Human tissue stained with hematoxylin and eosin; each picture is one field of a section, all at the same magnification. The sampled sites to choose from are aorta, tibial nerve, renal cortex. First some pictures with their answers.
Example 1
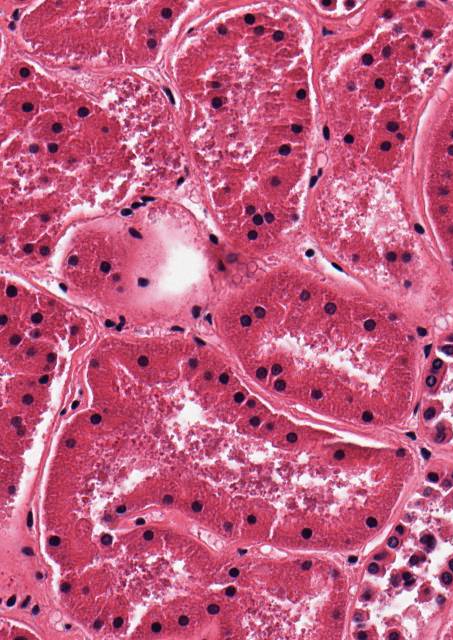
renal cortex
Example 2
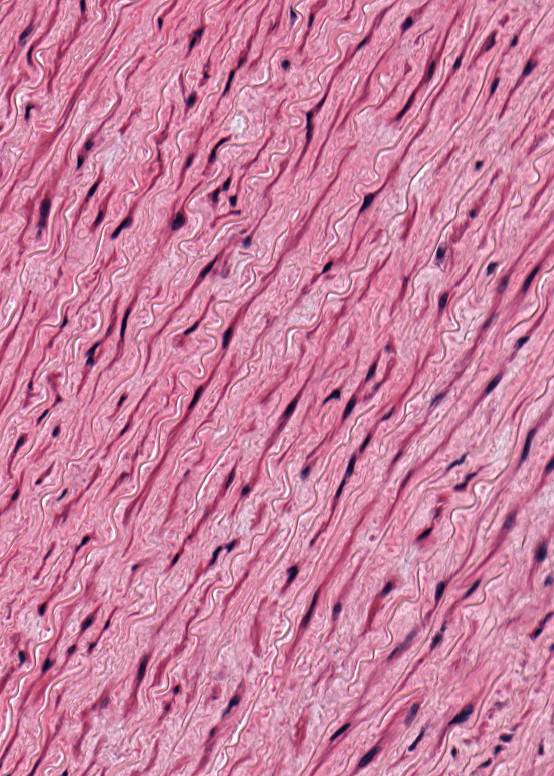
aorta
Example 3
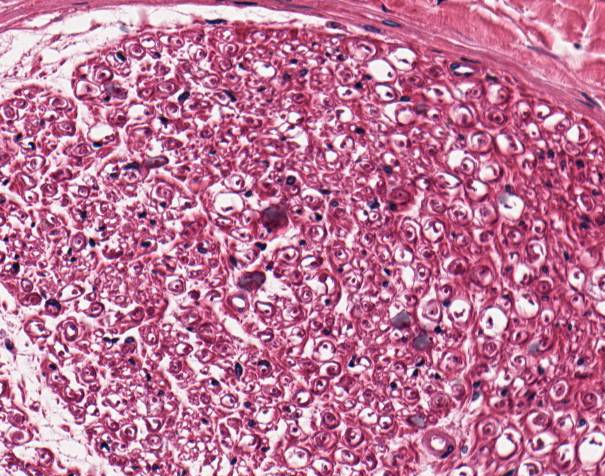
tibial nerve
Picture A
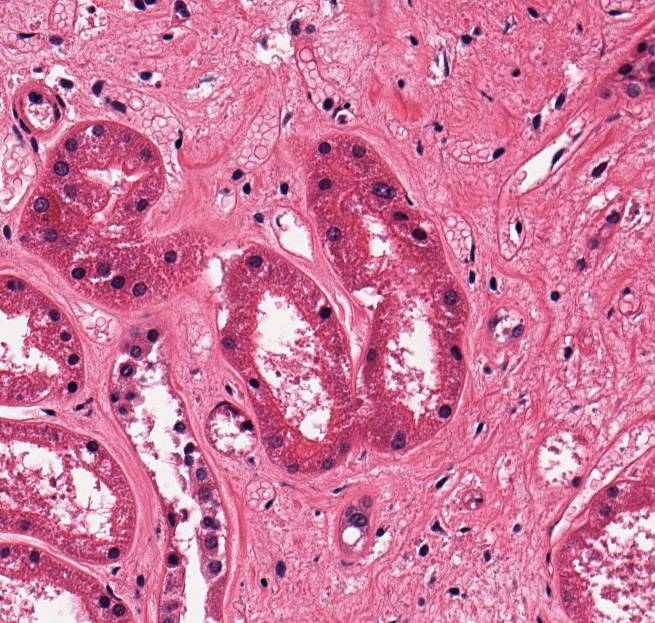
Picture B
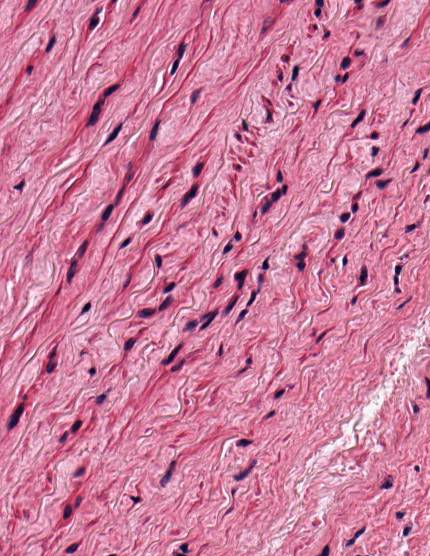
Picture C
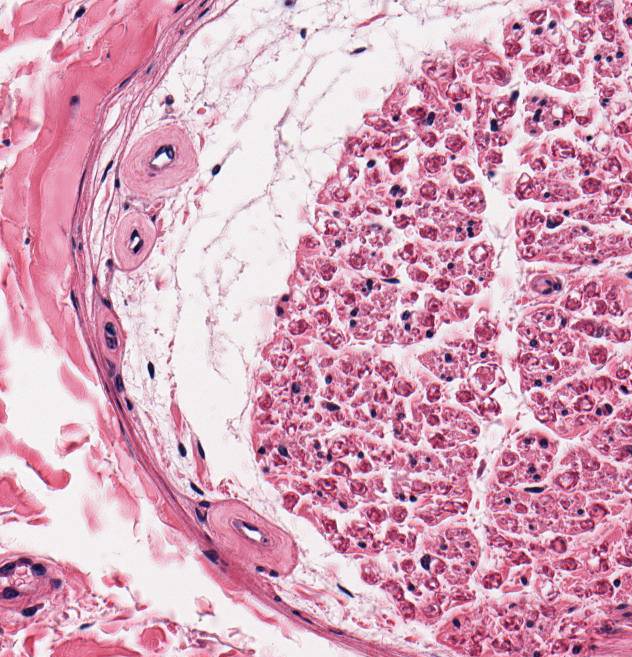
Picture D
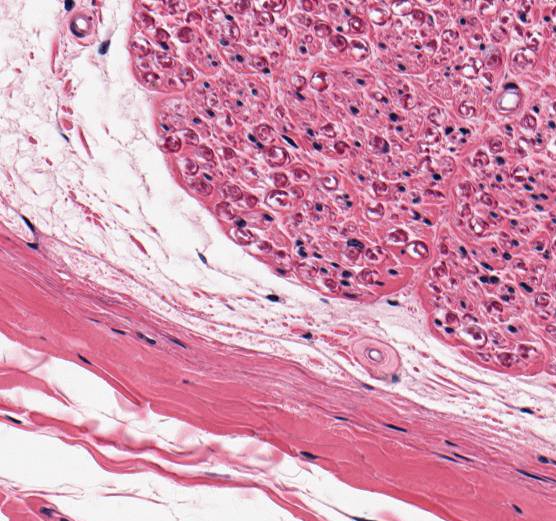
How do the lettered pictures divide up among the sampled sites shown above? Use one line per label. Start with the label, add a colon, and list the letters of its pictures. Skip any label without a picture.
aorta: B
tibial nerve: C, D
renal cortex: A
